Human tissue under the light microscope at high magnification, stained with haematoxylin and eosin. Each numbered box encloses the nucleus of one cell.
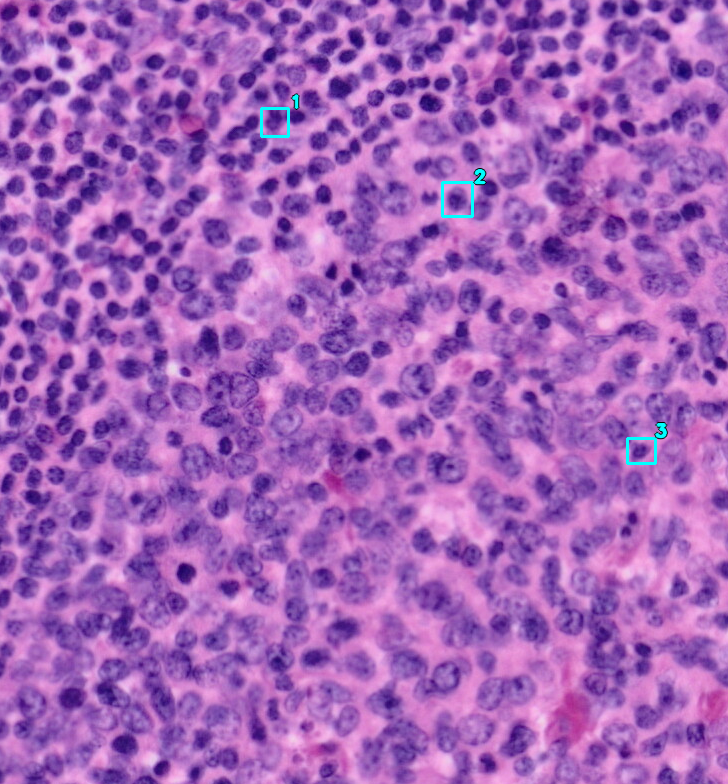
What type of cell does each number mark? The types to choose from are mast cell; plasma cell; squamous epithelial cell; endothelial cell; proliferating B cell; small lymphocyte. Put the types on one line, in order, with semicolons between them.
small lymphocyte; proliferating B cell; proliferating B cell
